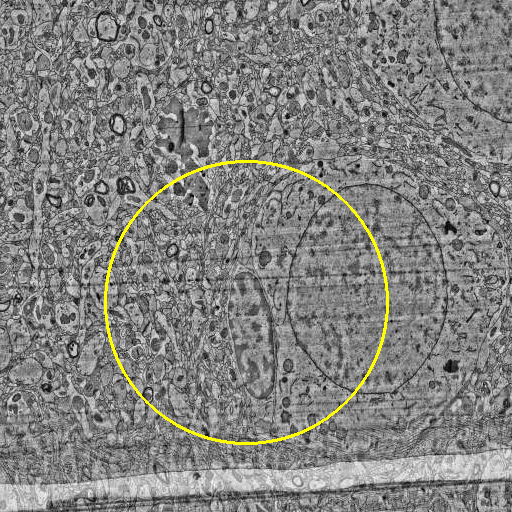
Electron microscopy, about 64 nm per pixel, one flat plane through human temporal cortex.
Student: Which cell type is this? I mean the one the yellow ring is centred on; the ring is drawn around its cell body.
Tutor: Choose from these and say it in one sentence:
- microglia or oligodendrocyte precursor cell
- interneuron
The cell the ring is centred on is a microglial cell or oligodendrocyte precursor cell.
